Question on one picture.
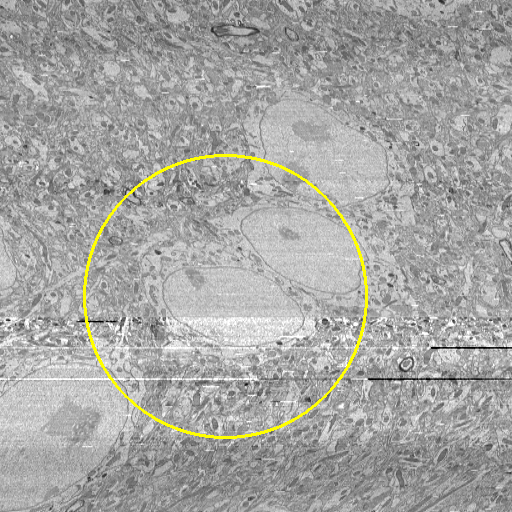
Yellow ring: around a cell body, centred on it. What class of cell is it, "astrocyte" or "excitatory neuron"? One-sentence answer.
This is an excitatory neuron, the cell the ring is centred on.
